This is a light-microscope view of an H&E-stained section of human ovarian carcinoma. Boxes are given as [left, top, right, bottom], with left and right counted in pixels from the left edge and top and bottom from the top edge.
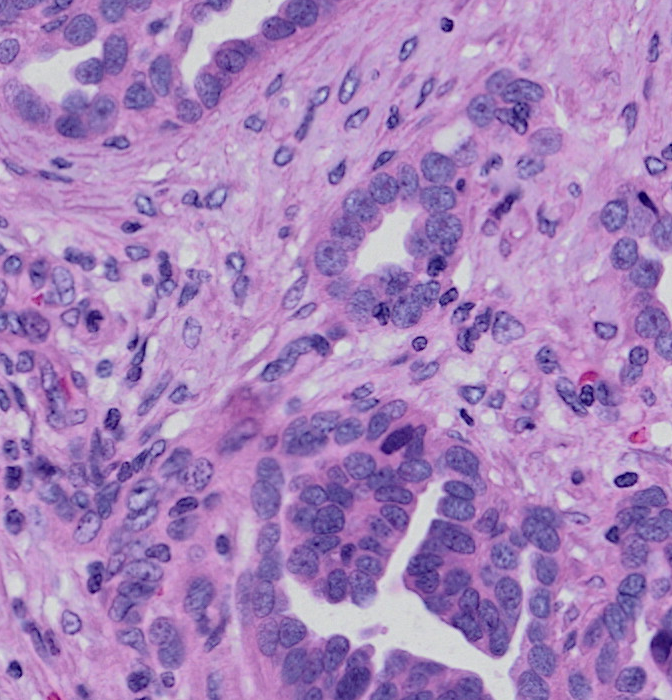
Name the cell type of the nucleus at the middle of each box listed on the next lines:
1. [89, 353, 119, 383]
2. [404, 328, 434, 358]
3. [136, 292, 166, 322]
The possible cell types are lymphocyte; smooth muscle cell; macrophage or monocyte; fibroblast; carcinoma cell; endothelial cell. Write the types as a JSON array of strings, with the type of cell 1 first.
["lymphocyte", "lymphocyte", "fibroblast"]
